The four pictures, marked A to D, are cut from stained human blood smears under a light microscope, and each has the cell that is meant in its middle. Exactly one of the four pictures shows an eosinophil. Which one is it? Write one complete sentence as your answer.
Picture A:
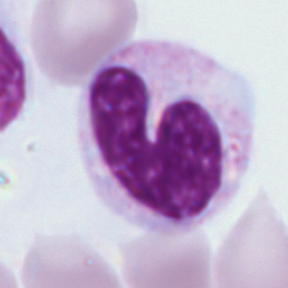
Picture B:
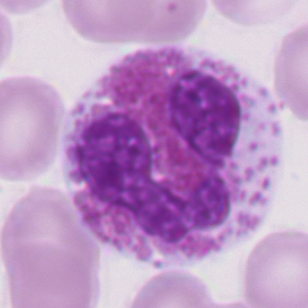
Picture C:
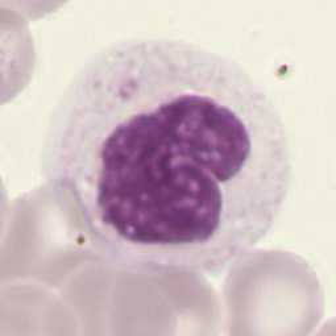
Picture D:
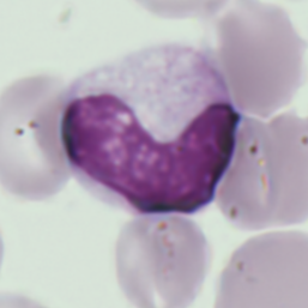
Picture B shows the eosinophil.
